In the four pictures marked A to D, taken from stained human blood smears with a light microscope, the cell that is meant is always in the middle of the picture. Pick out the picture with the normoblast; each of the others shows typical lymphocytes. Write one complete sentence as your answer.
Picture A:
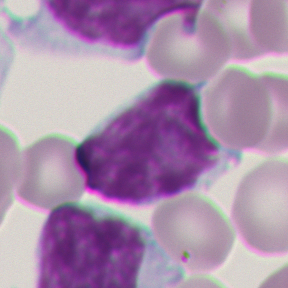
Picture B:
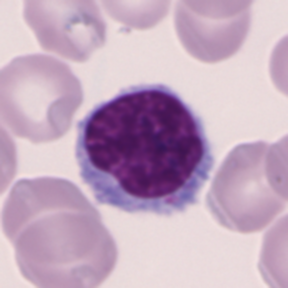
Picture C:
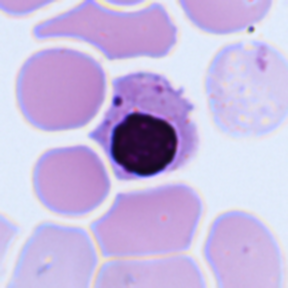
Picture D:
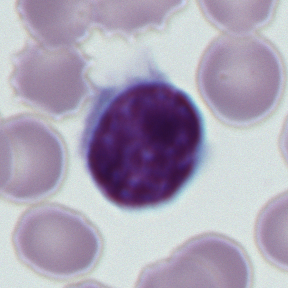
Picture C is the one that shows the normoblast.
